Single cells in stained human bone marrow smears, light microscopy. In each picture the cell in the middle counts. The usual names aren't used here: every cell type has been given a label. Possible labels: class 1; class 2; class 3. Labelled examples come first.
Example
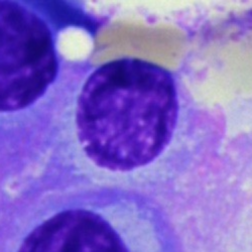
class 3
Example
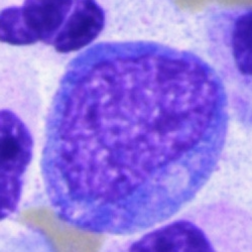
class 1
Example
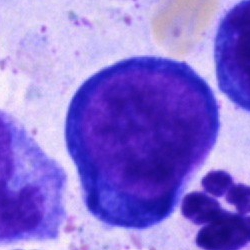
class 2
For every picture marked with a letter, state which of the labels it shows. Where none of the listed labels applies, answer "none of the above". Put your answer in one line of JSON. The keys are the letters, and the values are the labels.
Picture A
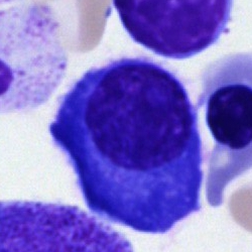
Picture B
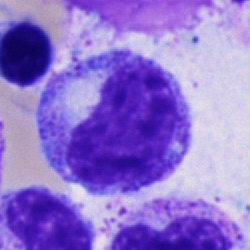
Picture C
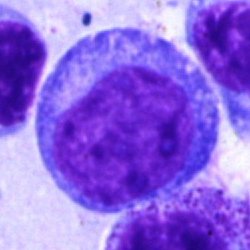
{"A": "class 3", "B": "class 1", "C": "class 1"}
